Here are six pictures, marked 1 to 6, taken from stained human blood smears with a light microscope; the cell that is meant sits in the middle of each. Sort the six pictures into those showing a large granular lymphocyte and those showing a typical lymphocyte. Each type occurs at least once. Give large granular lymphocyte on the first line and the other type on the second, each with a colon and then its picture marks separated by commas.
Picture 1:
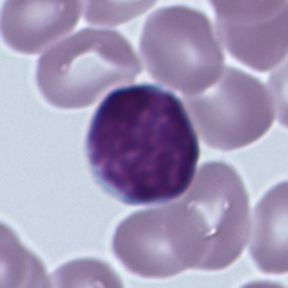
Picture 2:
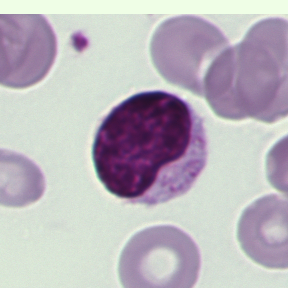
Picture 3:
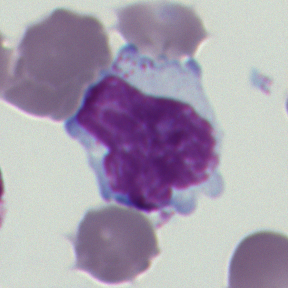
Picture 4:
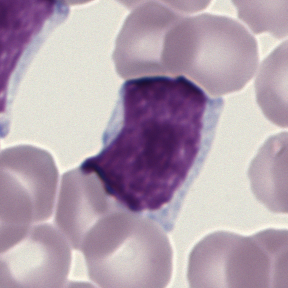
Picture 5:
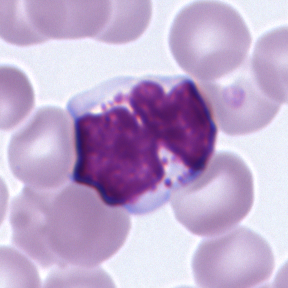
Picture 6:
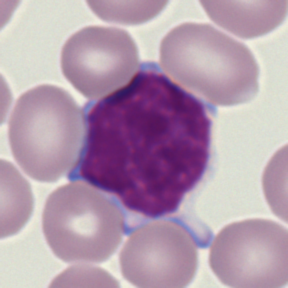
large granular lymphocyte: 2, 3, 5
typical lymphocyte: 1, 4, 6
